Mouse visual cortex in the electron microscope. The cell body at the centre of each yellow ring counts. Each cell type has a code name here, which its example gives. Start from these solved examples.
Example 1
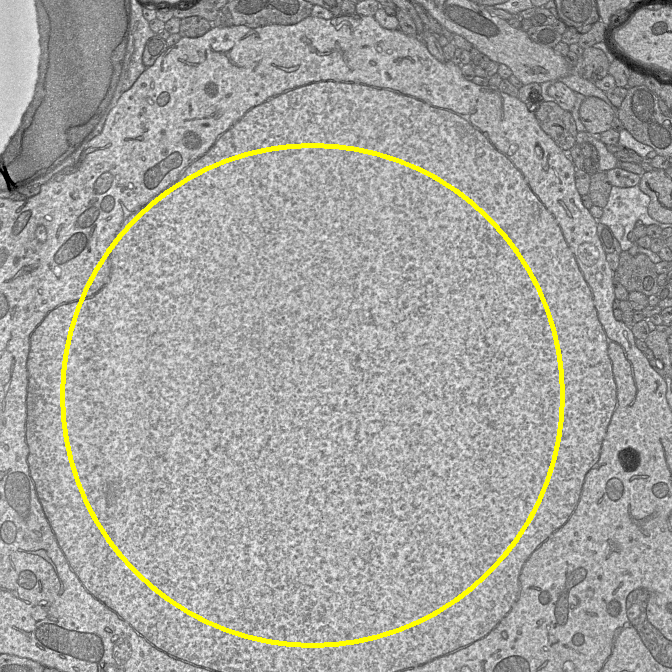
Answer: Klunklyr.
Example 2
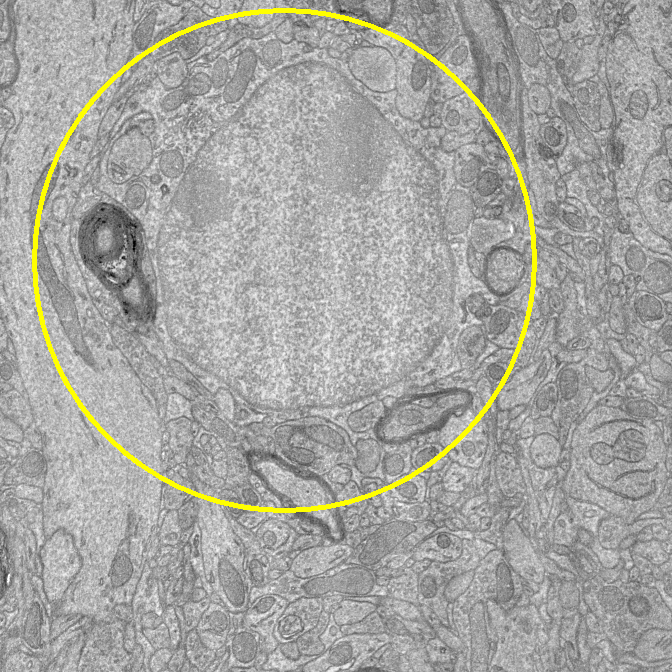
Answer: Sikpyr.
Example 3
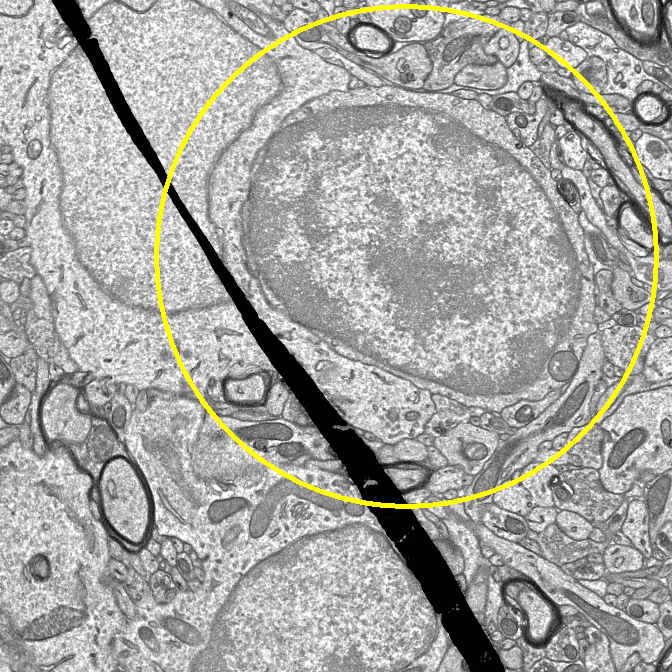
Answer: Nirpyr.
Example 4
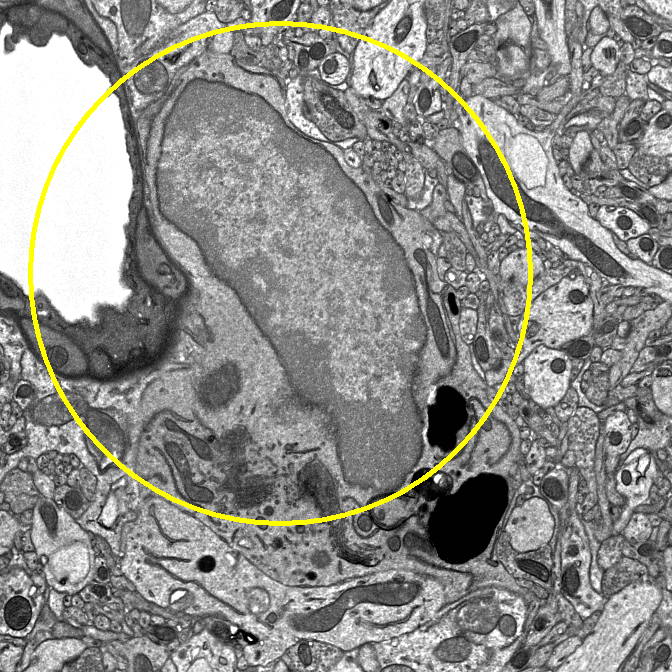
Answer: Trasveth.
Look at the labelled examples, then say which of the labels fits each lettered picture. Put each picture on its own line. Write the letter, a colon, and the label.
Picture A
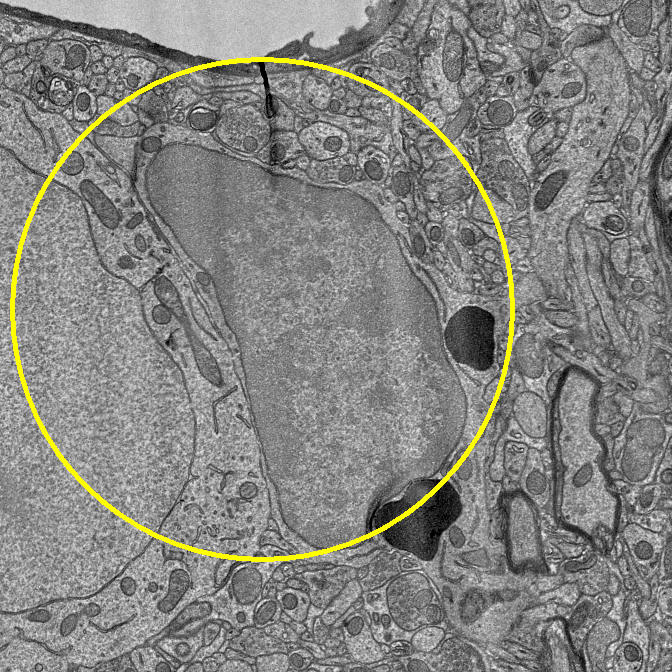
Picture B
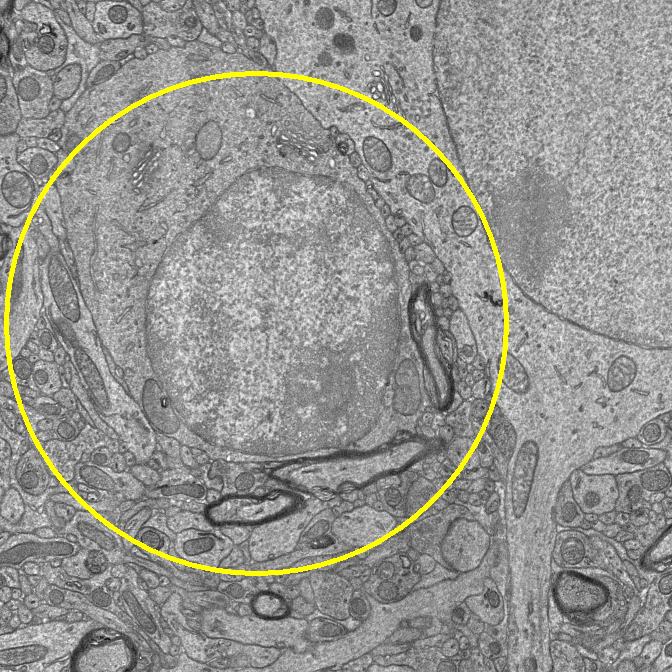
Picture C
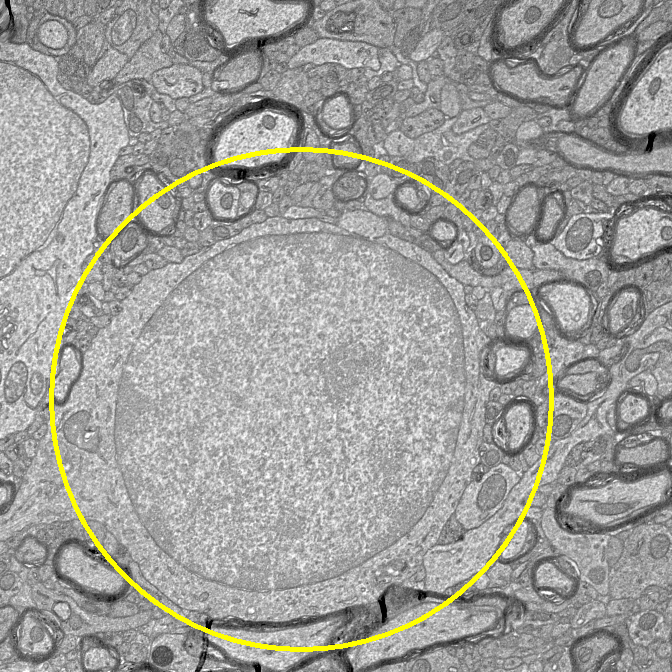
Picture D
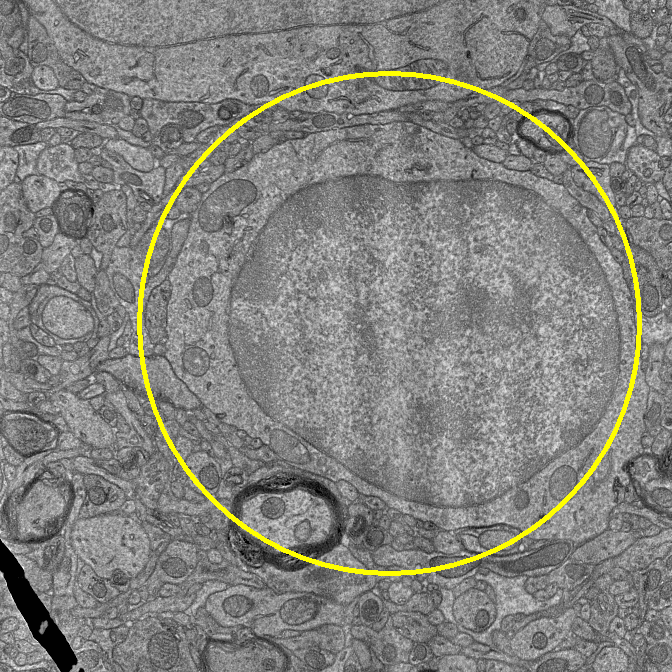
A: Trasveth.
B: Nirpyr.
C: Nirpyr.
D: Nirpyr.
